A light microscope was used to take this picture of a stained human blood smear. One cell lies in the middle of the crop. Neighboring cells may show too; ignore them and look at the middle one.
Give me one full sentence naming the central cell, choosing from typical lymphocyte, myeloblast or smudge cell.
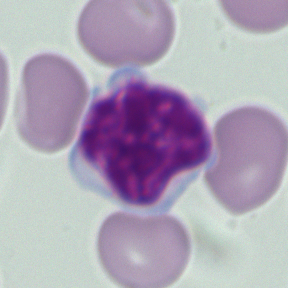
The cell at the centre of the field is a typical lymphocyte.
